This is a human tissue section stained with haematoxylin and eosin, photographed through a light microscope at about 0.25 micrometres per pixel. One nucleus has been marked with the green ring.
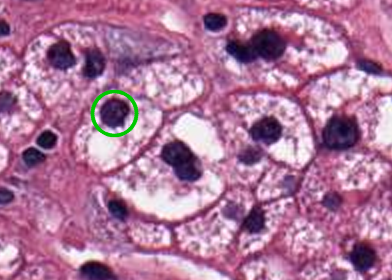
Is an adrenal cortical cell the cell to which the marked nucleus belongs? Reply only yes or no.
yes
